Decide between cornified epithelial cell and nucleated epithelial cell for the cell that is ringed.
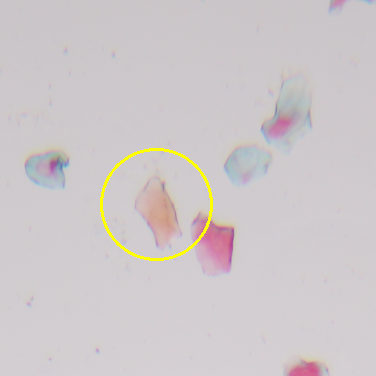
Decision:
I take the ringed cell for a cornified epithelial cell.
